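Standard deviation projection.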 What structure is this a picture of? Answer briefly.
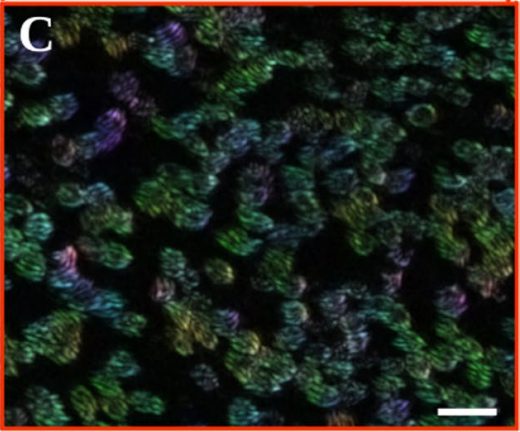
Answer: cilia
